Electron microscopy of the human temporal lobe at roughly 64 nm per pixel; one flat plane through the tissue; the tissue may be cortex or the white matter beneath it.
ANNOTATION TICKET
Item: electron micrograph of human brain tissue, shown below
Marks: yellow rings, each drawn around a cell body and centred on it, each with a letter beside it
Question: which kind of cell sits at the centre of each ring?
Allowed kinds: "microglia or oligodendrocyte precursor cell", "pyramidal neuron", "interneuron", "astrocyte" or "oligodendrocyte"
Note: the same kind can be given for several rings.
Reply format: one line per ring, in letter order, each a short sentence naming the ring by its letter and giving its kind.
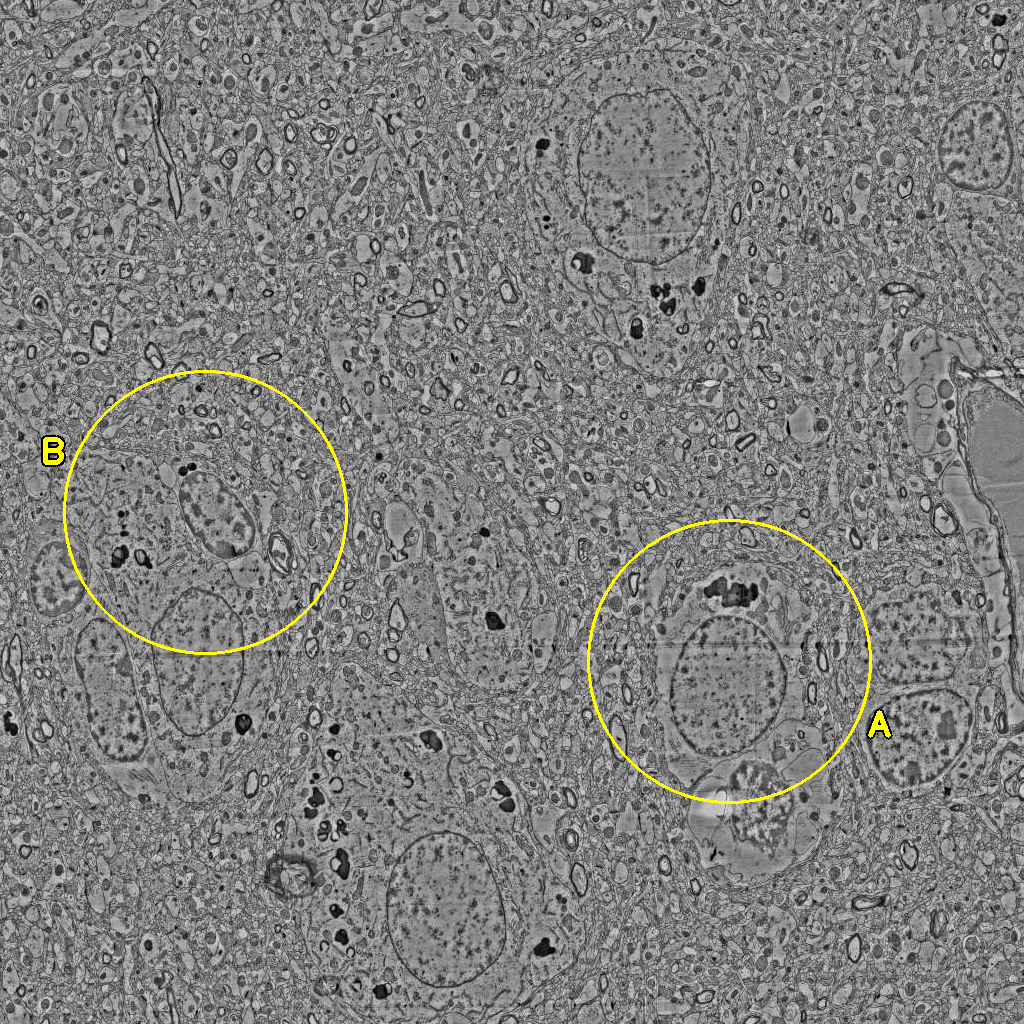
The cell at the centre of ring A is an astrocyte.
The cell at the centre of ring B is a microglial cell or oligodendrocyte precursor cell.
